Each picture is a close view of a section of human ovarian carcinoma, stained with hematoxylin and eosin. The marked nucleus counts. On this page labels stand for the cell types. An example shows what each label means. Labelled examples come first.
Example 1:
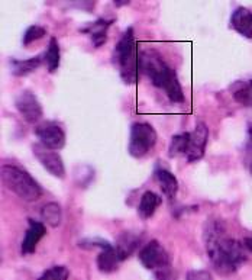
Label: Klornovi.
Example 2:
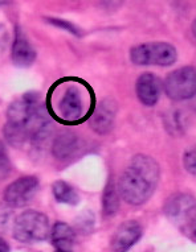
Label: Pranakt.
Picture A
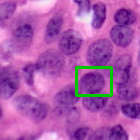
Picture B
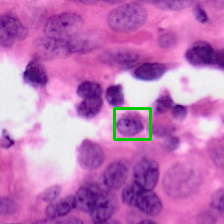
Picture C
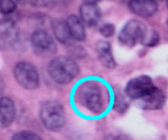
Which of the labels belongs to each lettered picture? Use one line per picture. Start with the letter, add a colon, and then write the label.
A: Klornovi.
B: Pranakt.
C: Klornovi.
